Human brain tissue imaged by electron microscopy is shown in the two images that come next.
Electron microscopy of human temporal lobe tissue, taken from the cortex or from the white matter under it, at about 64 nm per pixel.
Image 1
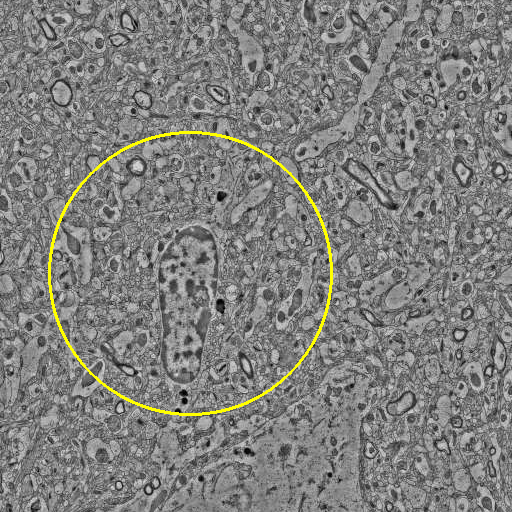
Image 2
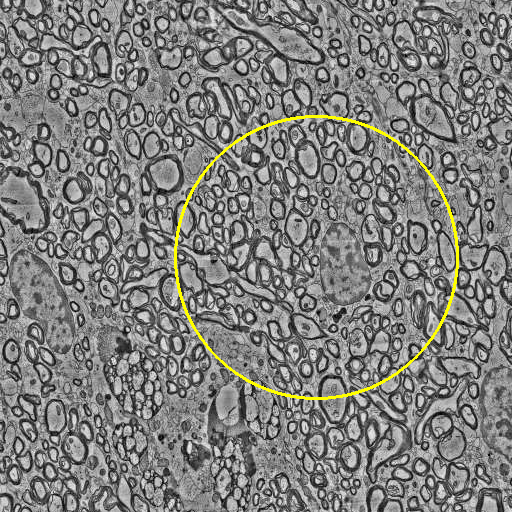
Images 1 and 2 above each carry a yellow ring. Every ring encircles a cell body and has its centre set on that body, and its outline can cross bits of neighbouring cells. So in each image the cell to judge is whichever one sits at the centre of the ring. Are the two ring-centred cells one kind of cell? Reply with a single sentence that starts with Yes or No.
Yes, in Image 1 and Image 2 the cells at the centres of their rings fall into one type.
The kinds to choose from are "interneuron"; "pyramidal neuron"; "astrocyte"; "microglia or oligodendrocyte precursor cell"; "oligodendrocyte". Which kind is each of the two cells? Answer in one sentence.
In the first picture and in the second, the ring is centred on a microglial cell or oligodendrocyte precursor cell.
